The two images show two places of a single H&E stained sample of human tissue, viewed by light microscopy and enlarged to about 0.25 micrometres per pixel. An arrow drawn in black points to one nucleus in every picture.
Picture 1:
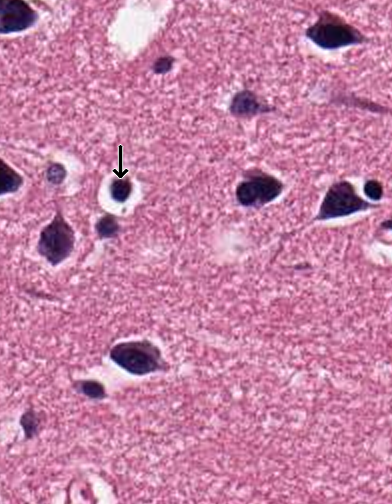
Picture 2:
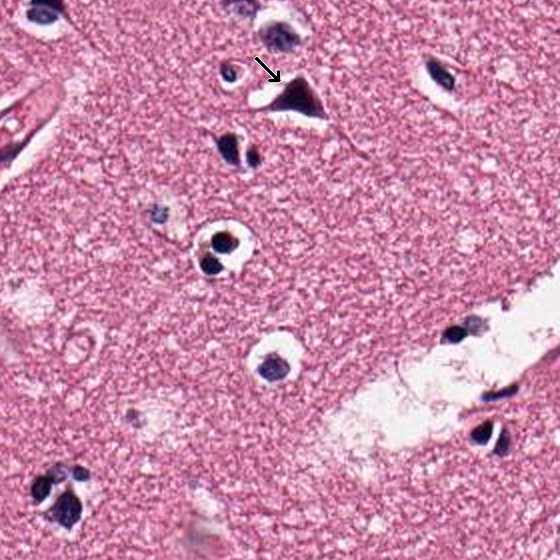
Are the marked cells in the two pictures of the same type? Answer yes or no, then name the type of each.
No, the first is an oligodendrocyte and the second a neuron.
